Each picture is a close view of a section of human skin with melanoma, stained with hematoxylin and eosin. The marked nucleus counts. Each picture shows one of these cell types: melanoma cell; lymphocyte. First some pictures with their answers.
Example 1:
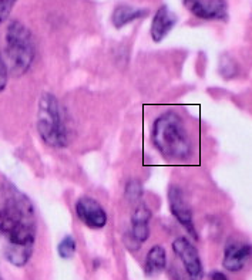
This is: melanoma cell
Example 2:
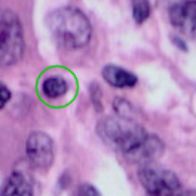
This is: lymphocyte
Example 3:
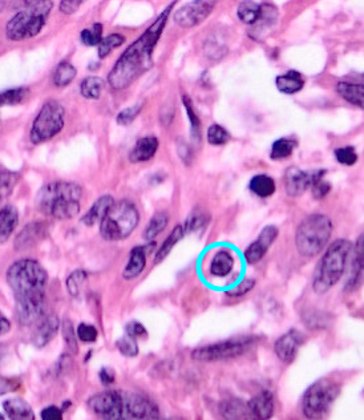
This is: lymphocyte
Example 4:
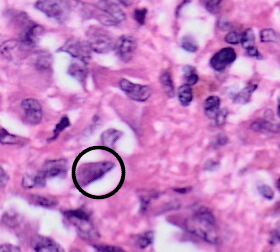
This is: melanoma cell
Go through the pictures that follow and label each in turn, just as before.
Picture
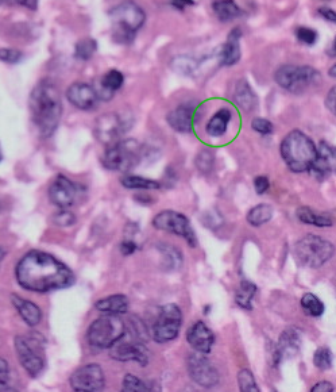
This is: lymphocyte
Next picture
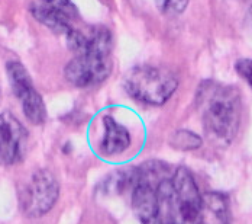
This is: melanoma cell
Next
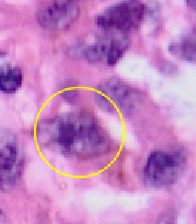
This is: melanoma cell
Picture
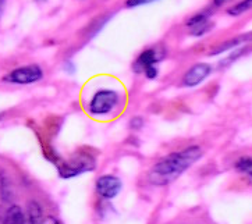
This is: lymphocyte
